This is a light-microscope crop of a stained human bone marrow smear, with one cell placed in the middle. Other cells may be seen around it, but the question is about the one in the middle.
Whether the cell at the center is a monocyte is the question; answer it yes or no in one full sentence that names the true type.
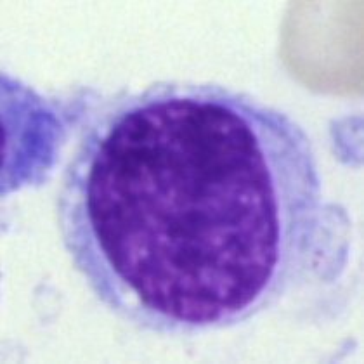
No, the cell occupying the centre is a hairy cell, not a monocyte.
